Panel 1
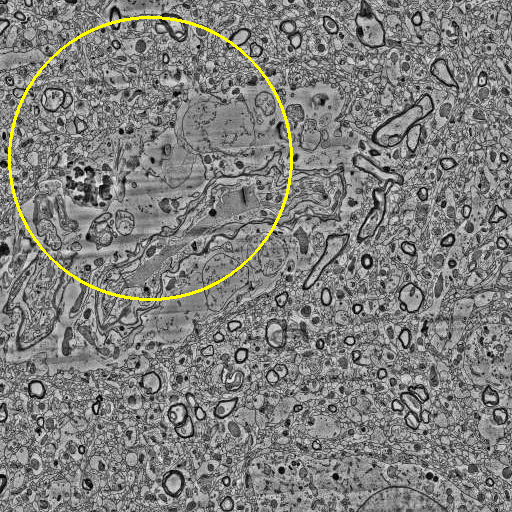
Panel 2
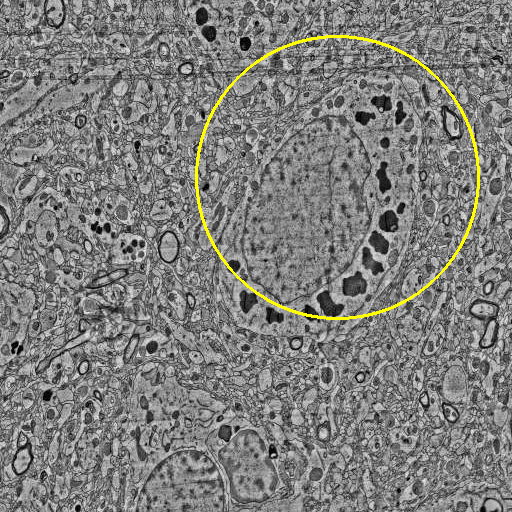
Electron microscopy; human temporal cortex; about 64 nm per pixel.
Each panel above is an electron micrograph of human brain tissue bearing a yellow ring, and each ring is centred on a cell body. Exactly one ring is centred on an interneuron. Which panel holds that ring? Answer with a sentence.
That ring is in Panel 2.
